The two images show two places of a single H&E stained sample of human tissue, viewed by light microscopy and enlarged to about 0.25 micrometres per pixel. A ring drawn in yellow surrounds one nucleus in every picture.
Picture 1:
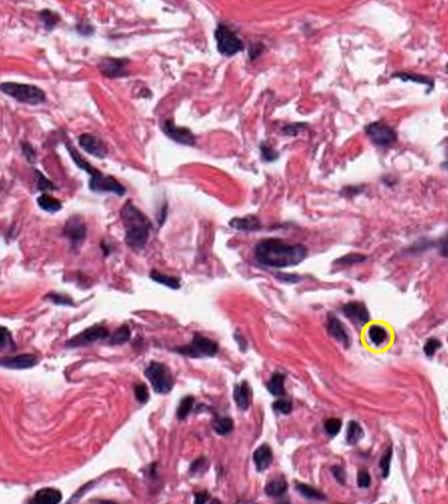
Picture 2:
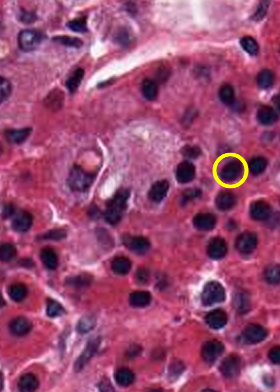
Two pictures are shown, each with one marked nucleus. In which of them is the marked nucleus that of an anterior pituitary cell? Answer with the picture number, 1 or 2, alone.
2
